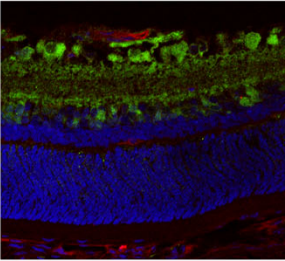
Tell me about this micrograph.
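This retinal cross-section shows rounded cell bodies in the innermost ganglion cell/nerve fiber layer filled with green, beside a red vessel at the inner surface. A green-tinged plexiform layer lies beneath, followed by a blue inner nuclear layer with some green cells at its upper edge. Red-stained tissue runs along the bottom edge beyond the outer retina.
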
